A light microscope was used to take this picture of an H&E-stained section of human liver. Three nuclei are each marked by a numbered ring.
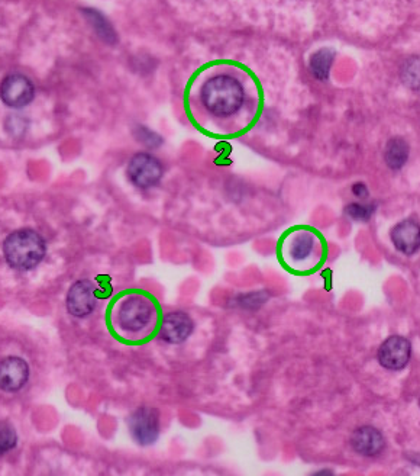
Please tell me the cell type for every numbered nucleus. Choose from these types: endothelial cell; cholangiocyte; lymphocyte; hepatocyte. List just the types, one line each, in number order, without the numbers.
lymphocyte
hepatocyte
hepatocyte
